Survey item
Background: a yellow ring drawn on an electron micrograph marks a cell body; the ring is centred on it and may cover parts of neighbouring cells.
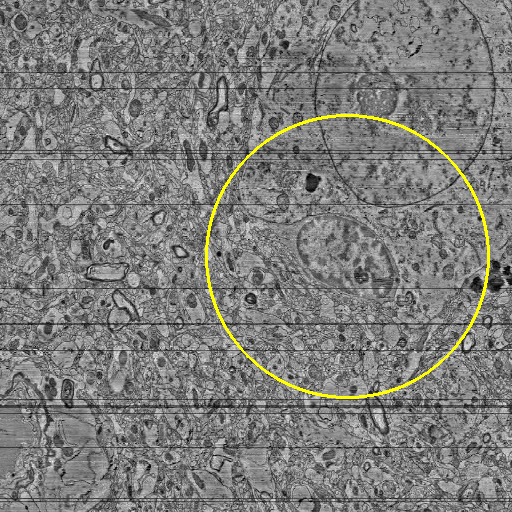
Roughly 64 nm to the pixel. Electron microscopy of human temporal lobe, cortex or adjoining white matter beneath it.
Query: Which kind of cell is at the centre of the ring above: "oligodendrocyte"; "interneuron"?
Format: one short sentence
The cell in the middle of the ring is an oligodendrocyte.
